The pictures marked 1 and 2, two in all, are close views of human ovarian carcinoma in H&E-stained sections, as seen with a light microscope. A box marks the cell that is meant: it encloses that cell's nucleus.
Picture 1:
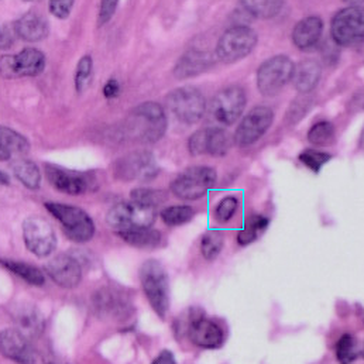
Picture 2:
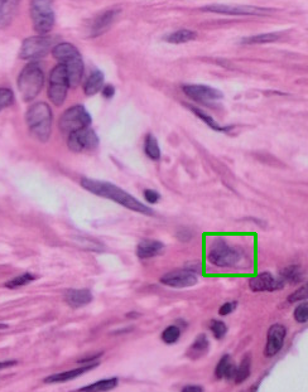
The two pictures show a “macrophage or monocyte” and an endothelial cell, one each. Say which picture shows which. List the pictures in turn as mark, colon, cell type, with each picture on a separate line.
1: macrophage or monocyte
2: endothelial cell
